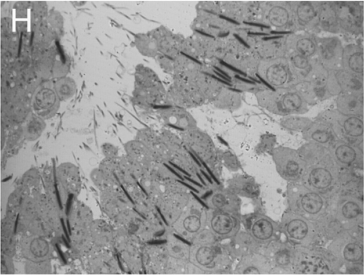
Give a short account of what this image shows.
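This is testis tissue with the epithelium of tubules on either side of a pale lumen. The epithelium is compact, with round cells bearing round nuclei, and many slender, dark, rod-like sperm heads lie in bundles along its luminal edge, with fine threads extending into the lumen.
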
